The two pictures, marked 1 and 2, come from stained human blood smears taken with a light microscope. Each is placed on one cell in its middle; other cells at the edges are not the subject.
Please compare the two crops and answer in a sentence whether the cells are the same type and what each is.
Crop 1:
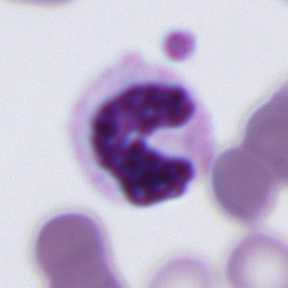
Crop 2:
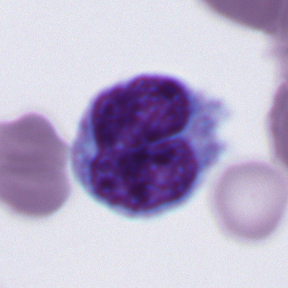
No, crop 2 centres on a monocyte, and crop 1 centres on a neutrophil.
